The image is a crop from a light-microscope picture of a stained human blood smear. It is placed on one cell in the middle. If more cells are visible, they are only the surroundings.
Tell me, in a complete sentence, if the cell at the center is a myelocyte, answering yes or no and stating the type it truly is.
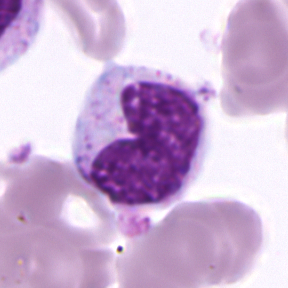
No, the central cell is reported as a metamyelocyte rather than as a myelocyte.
